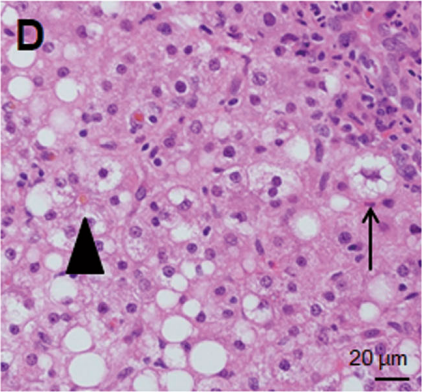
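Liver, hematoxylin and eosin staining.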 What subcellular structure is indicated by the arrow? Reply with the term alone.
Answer: microvesicular small lipid droplets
